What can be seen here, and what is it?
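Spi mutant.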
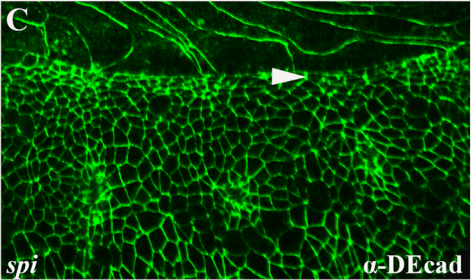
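Embryonic epidermis with green-outlined cell membranes, below a region of large, thin, stretched cells at the top. The epidermal cells are polygonal and roughly isodiametric, of irregular size, and are not drawn out toward the border.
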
